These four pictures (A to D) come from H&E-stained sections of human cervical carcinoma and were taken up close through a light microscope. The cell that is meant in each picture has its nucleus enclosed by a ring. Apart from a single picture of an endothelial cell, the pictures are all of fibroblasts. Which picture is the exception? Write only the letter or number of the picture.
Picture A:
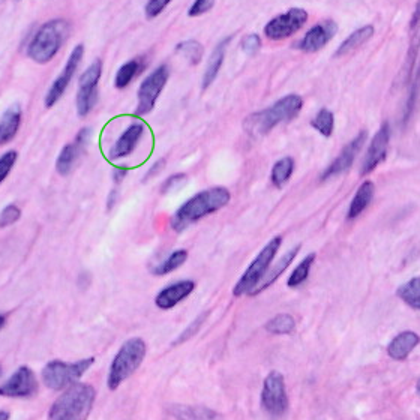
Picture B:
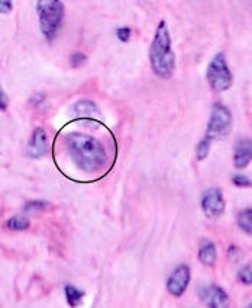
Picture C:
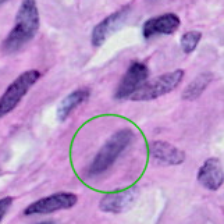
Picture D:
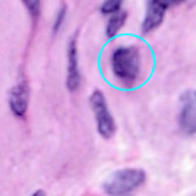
B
